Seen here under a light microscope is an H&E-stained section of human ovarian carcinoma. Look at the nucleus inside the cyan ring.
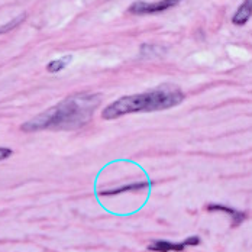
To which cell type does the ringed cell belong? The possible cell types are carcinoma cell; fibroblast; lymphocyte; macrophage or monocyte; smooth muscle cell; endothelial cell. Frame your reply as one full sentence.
By its classification, the ringed cell is a fibroblast.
